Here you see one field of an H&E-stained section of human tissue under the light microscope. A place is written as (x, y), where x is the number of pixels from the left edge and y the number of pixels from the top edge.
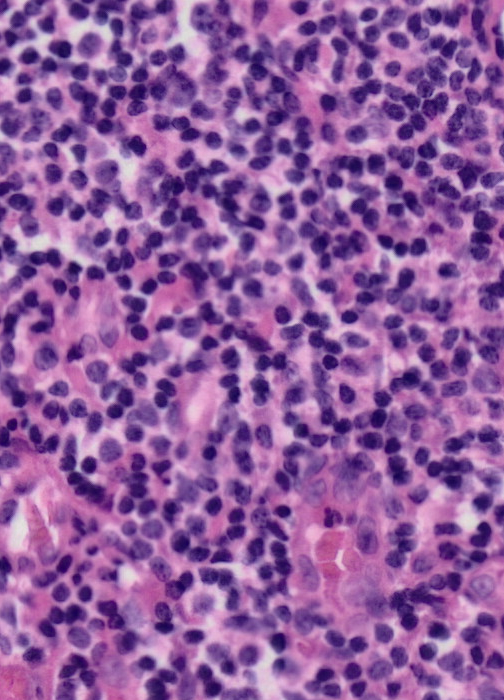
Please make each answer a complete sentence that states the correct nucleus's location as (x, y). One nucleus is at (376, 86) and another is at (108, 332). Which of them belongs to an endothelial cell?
Of these two nuclei, it is the one at (108, 332) that belongs to an endothelial cell.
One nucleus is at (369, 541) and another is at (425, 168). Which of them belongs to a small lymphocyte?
Of the two nuclei, that at (425, 168) is the nucleus of a small lymphocyte.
